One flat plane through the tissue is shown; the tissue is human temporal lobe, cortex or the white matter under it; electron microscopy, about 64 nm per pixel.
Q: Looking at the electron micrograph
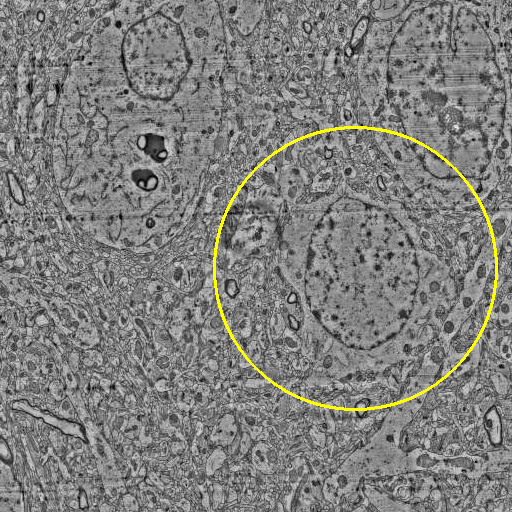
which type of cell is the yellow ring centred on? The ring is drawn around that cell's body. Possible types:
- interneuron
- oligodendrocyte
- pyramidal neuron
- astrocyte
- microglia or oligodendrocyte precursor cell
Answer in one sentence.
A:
The yellow ring is centred on an astrocyte.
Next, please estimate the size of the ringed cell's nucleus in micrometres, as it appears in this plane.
The nucleus has a long axis of about 10 micrometres and a short axis of about 7 micrometres in this plane.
